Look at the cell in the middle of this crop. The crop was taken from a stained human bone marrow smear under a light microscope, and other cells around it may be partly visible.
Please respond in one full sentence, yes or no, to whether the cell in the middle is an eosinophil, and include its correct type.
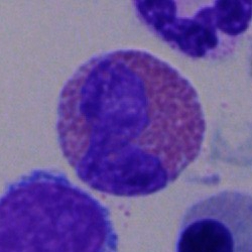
Yes, the middle cell is properly termed an eosinophil.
